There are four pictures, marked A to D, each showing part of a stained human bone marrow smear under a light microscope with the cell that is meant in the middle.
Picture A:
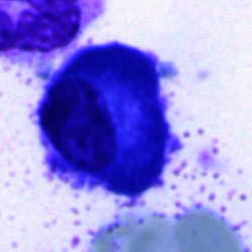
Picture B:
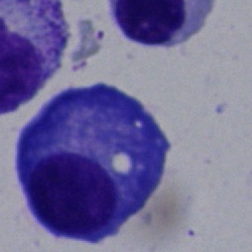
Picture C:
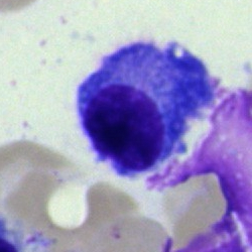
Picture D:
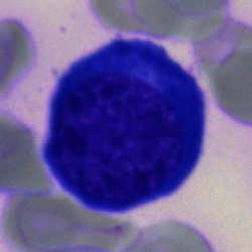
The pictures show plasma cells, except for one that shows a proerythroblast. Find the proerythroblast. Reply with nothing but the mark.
D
